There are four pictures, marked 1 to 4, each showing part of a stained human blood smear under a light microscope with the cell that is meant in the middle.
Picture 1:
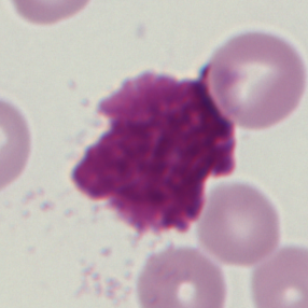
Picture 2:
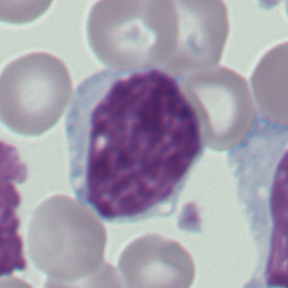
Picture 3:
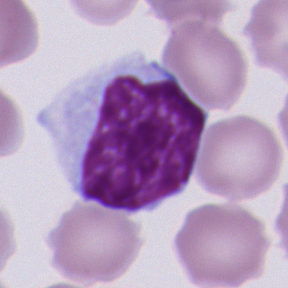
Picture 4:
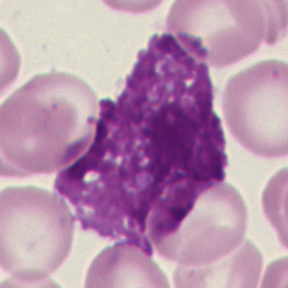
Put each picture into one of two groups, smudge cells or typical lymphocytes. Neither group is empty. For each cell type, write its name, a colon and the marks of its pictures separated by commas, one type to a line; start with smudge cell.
smudge cell: 1, 4
typical lymphocyte: 2, 3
